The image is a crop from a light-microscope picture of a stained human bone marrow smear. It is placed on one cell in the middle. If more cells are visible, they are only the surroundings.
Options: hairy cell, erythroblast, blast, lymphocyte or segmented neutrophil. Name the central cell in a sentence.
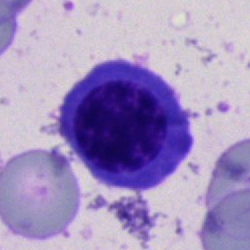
The center cell of this crop is an erythroblast.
